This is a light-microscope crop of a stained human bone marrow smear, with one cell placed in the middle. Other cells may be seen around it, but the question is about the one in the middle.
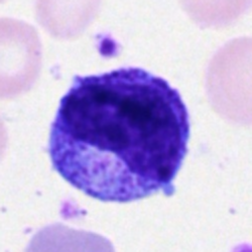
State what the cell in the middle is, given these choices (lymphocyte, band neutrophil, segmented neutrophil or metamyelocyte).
metamyelocyte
